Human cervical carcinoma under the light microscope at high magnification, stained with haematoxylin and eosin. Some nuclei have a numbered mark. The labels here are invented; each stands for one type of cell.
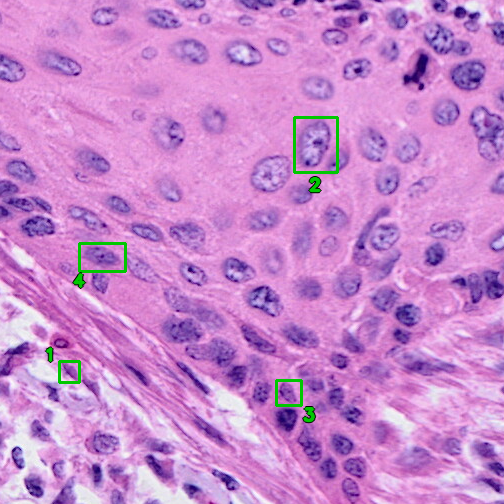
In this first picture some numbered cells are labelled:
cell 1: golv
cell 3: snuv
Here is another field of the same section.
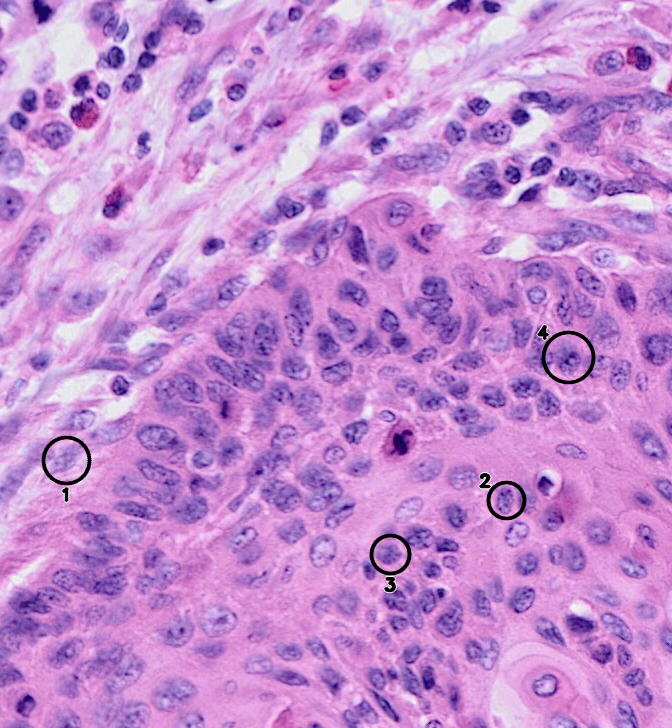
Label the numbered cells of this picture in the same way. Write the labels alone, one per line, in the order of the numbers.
golv
snuv
snuv
snuv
